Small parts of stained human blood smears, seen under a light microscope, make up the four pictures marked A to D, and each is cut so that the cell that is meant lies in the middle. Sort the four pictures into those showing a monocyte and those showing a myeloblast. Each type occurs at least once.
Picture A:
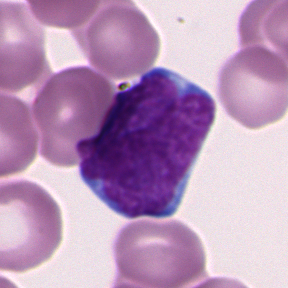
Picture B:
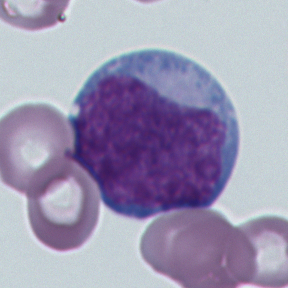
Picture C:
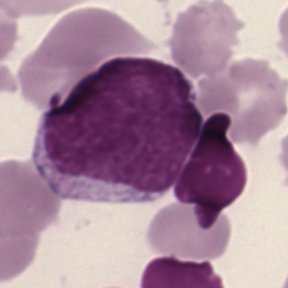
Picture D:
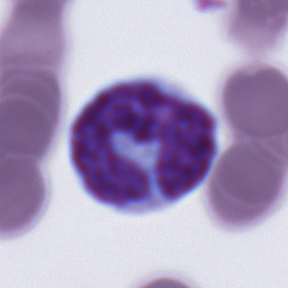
A: myeloblast
B: myeloblast
C: myeloblast
D: monocyte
